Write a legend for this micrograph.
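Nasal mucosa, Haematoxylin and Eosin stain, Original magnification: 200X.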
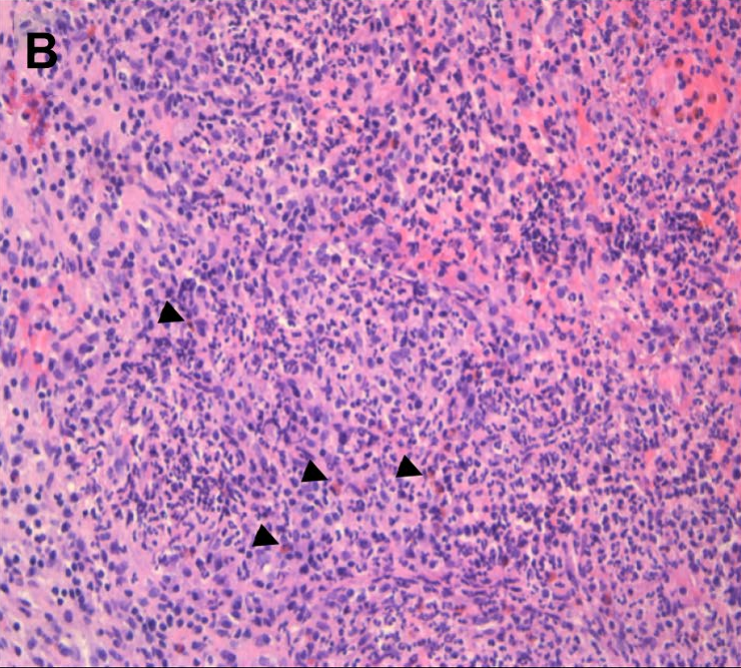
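Small, round, deeply purple nuclei are packed closely in sheets, with elongated, spindle-shaped nuclei running in streams between them. Pink strands of connective tissue and patches of red, especially toward the upper right, break up the cellular sheet. A few single cells with orange-red cytoplasm lie among the dark nuclei; these are eosinophils. The tissue shows no glands or surface lining and has lost its normal layered arrangement.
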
